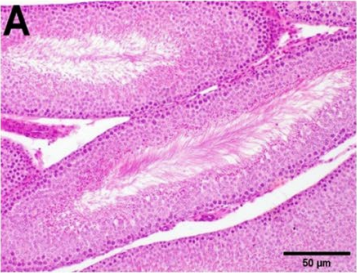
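This is testis, cut so that the seminiferous tubules run lengthwise as long bands. Each tubule is lined by a thick epithelium of many layers of cells with round purple nuclei, the germ cells of the spermatogenic series, stacked from the outer wall toward the middle. The lumen in the centre holds pale pink, feathery material, the tails of developing sperm. Between neighbouring tubules lie only narrow spaces with a few flattened cells and small clusters of interstitial cells. The tubules are closely packed, and their epithelium looks full and orderly.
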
